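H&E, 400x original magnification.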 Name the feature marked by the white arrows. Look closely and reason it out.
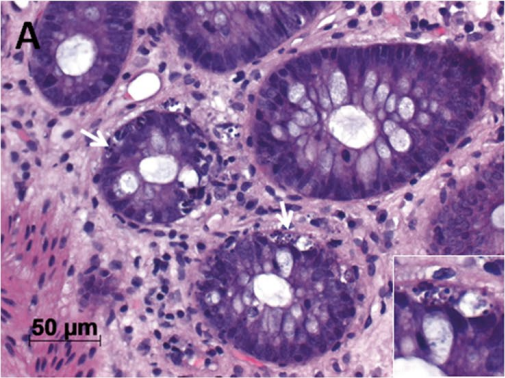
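Apoptotic bodies. Small clear vacuoles in the crypt epithelium contain dark nuclear fragments. The fragments are surrounded by a pale halo. The inset enlarges one such vacuole with debris.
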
